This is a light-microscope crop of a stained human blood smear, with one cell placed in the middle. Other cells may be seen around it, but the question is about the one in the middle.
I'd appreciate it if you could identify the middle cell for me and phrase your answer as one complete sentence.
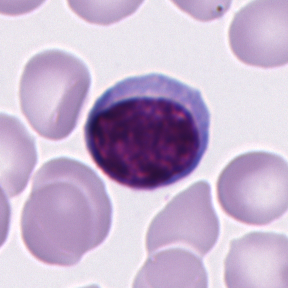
Here the cell in the middle is a lymphocyte.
